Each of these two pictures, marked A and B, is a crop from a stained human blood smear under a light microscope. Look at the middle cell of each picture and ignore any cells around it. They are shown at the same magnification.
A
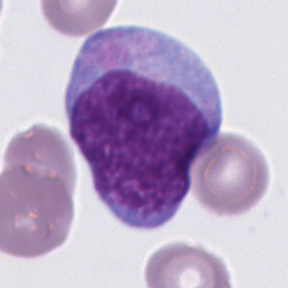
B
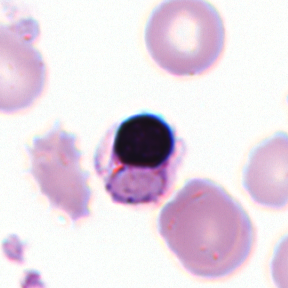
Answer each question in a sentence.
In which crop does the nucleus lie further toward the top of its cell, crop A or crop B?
It is the nucleus in crop B that lies further toward the top of its cell.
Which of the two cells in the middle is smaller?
Crop B holds the smaller cell, since the cell in crop A covers about 4 times as much area.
